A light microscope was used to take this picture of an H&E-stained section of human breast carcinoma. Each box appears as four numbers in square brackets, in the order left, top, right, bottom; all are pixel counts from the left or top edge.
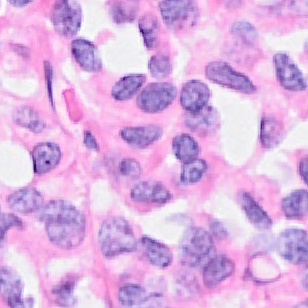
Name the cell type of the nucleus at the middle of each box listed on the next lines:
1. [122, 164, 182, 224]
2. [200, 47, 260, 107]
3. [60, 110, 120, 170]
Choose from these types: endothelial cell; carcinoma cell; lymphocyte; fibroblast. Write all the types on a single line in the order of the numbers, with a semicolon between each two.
carcinoma cell; carcinoma cell; endothelial cell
